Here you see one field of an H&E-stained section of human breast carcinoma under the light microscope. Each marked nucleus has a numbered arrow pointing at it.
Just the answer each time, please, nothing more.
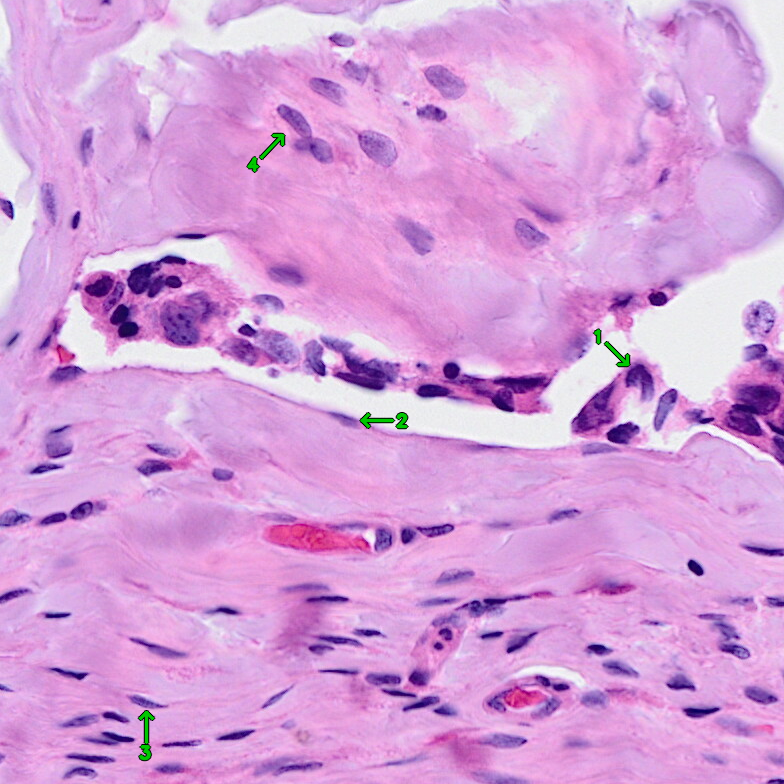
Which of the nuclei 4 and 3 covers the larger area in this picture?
4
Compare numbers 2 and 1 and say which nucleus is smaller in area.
2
